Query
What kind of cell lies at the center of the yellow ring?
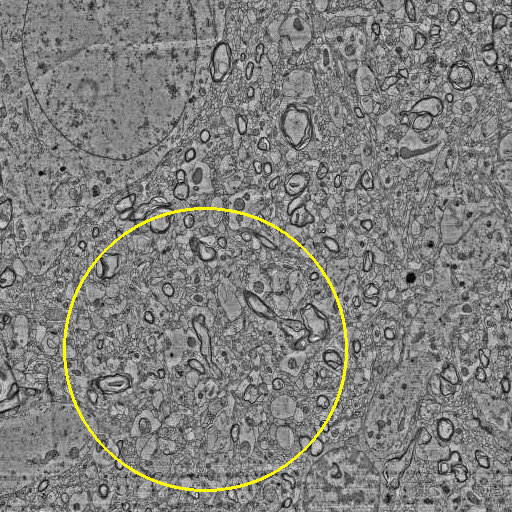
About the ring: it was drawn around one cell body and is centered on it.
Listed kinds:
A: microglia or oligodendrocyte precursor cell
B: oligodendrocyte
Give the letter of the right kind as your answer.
B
